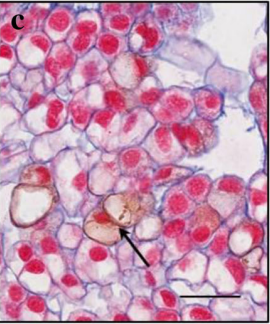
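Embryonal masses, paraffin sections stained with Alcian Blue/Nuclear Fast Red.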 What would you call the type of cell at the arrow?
Brown cells with phenolic content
